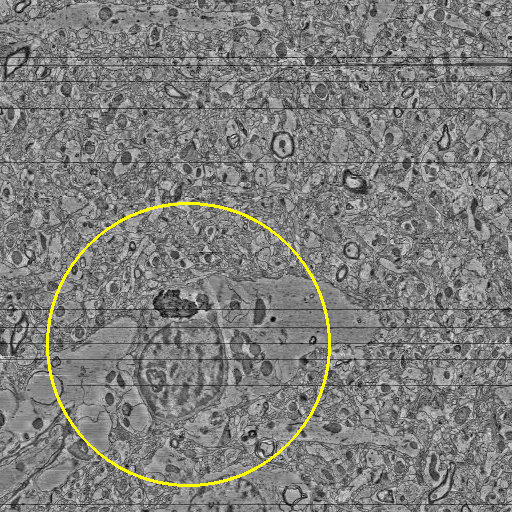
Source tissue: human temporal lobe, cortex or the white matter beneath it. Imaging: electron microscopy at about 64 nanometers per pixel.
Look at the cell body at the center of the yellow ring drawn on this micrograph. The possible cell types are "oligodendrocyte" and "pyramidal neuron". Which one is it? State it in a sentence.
The cell in the middle of the ring is an oligodendrocyte.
